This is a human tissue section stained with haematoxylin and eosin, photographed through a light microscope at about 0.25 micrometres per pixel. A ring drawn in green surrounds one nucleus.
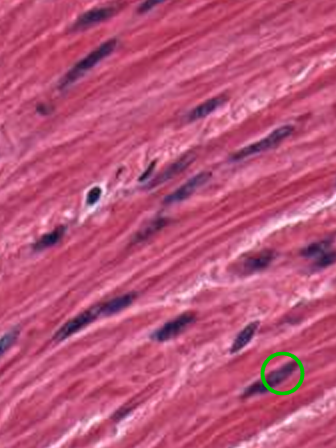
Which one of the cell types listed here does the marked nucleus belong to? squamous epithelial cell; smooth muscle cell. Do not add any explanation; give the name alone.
smooth muscle cell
